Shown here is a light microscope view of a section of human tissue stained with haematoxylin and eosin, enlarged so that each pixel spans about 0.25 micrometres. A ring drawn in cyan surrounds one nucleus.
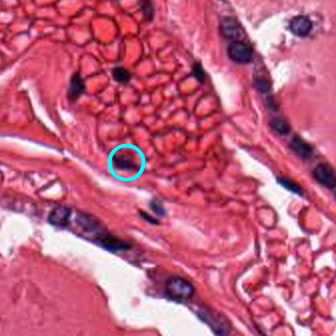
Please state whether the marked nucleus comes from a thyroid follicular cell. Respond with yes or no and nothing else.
no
